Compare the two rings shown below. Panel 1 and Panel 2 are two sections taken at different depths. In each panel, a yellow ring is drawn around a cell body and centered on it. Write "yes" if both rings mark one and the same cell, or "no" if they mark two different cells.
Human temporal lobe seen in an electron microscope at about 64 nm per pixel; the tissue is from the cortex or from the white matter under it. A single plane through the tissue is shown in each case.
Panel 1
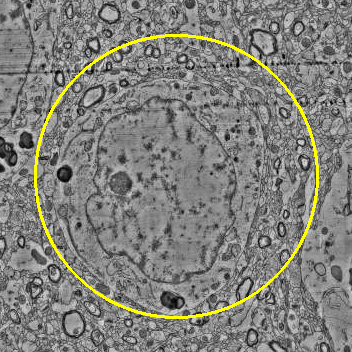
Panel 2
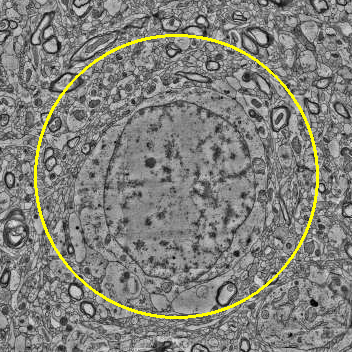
no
